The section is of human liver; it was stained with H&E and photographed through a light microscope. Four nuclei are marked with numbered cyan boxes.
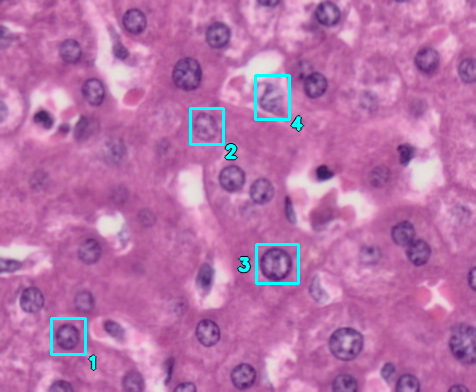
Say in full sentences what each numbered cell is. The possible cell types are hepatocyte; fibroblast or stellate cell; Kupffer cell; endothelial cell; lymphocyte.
Cells 1, 2 and 3 are hepatocytes. Cell 4 is a Kupffer cell.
